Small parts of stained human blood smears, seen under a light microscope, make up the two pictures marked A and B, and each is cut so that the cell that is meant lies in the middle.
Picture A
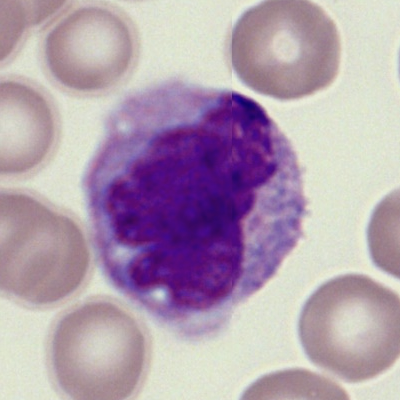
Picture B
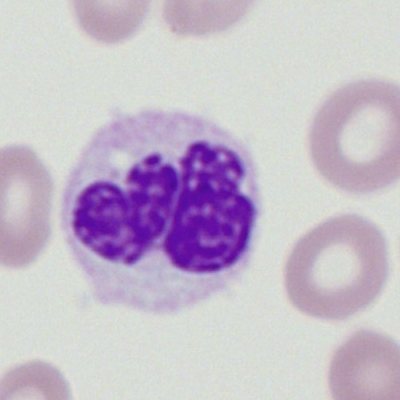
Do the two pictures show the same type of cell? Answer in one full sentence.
Yes, they are the same type: both are monocytes.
